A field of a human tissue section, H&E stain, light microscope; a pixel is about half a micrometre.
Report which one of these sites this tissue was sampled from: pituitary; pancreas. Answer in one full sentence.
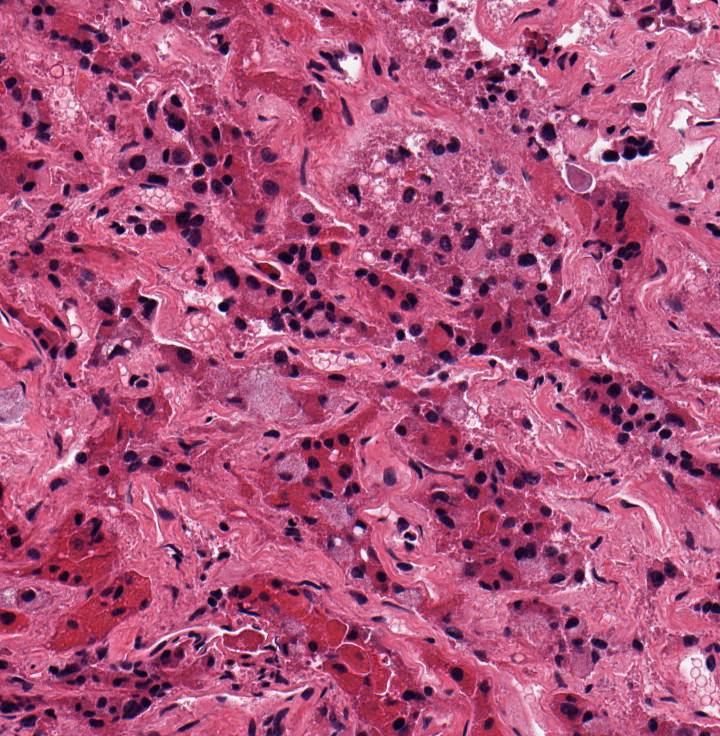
Sampled from the pituitary is the tissue in this section.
